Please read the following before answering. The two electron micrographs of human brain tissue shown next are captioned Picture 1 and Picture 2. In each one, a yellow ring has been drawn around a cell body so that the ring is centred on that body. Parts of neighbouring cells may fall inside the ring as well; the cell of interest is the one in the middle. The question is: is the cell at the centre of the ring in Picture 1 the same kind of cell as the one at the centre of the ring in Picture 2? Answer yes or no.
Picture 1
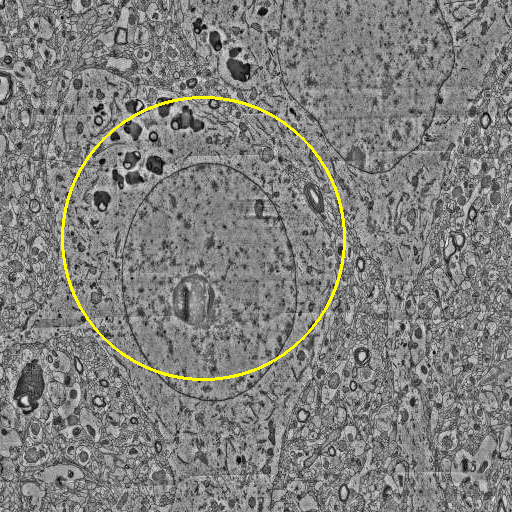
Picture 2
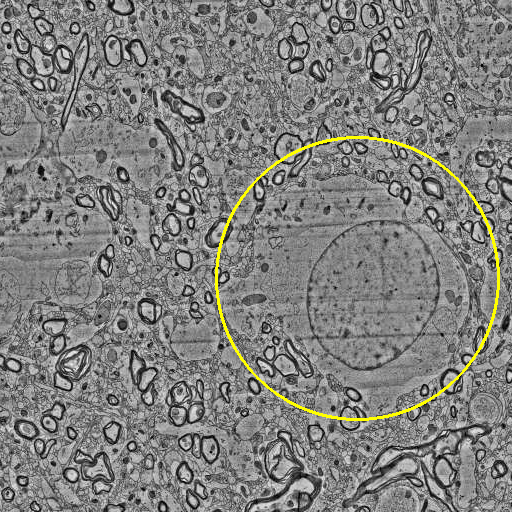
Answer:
no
